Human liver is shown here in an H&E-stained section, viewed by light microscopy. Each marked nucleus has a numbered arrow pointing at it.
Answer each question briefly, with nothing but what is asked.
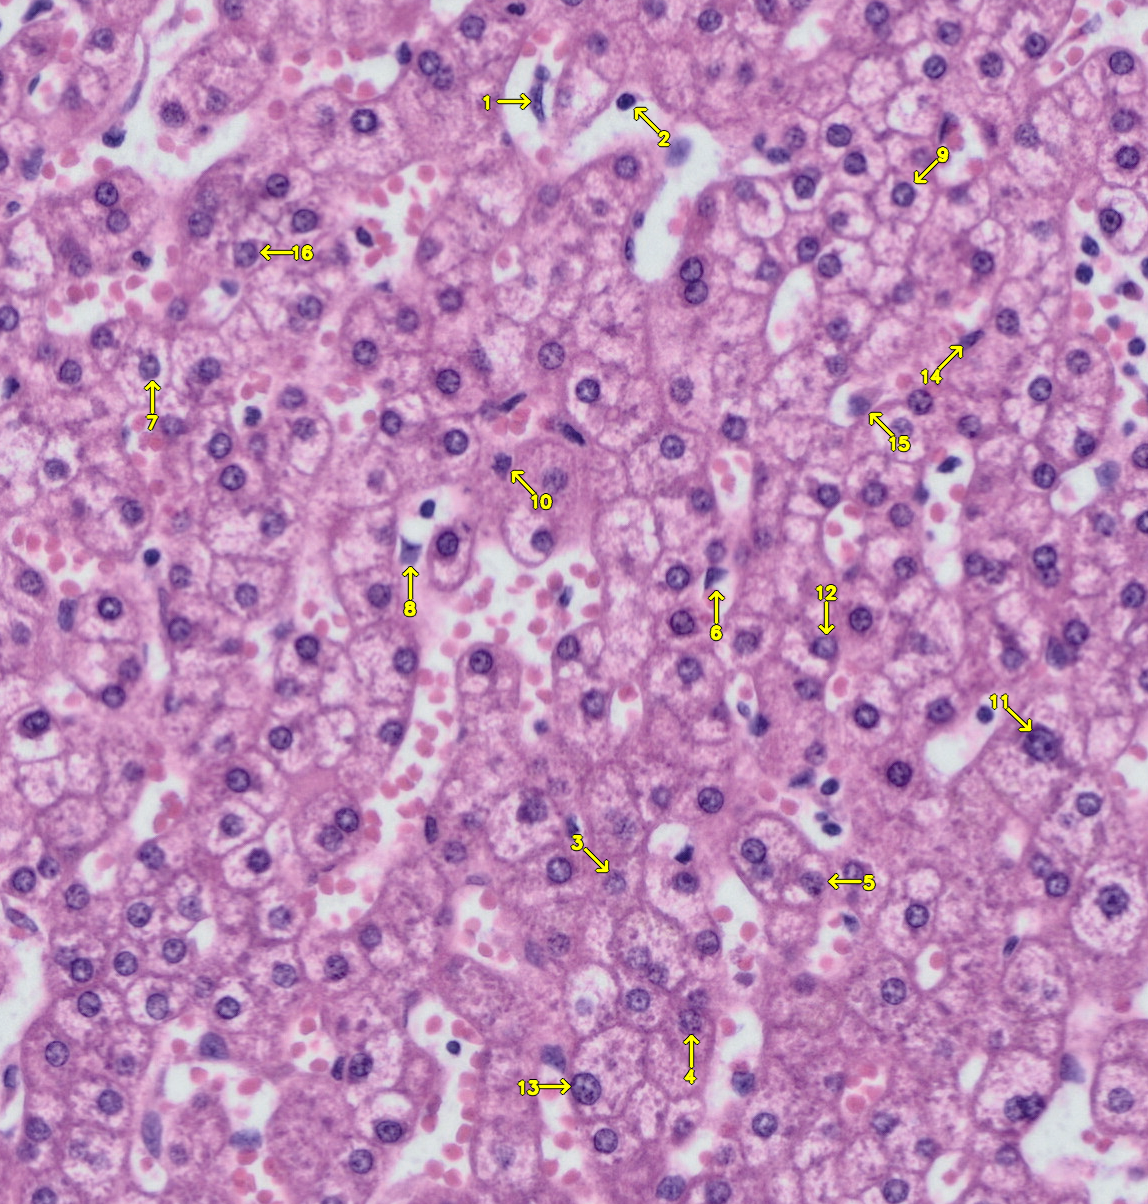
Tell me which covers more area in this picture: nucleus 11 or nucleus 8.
11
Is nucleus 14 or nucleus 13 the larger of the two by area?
13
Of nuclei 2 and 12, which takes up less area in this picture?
2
